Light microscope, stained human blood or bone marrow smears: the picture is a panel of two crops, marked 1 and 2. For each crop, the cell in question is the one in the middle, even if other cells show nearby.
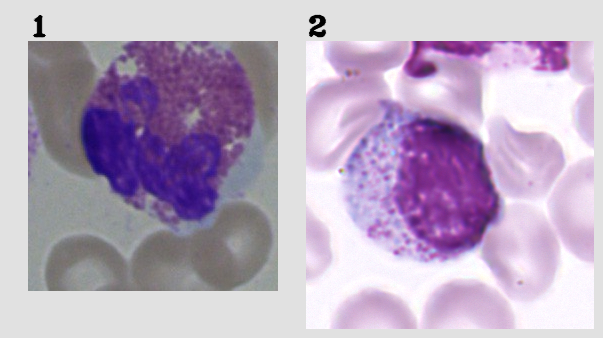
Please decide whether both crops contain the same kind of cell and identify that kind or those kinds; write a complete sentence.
No; crop 1 is an eosinophil, while crop 2 is a metamyelocyte.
